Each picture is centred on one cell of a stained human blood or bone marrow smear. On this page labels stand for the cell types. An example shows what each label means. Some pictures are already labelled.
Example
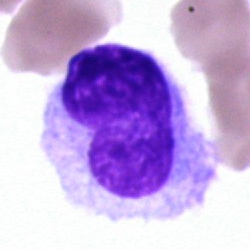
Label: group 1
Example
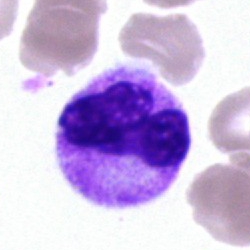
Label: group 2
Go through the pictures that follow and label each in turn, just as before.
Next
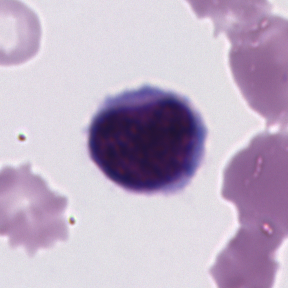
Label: group 1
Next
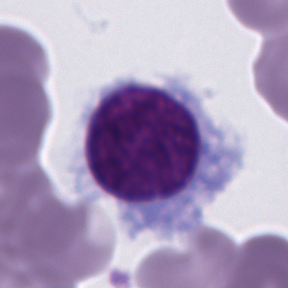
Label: group 1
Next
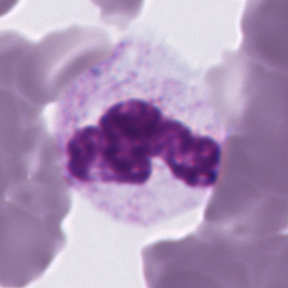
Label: group 2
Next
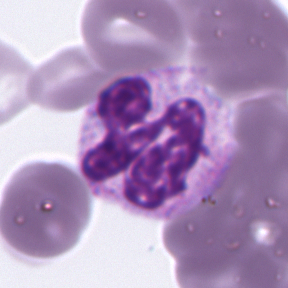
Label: group 2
